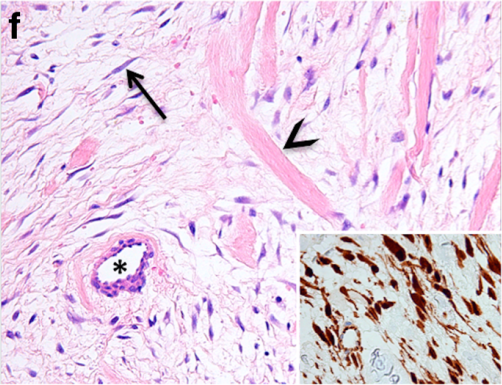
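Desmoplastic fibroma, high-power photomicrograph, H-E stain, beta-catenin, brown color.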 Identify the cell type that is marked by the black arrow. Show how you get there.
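Elongated, tapered purple nuclei scattered in pale pink matrix. Some cells have several thin processes radiating outward. Cells are widely spaced. On this evidence: spindle- and stellate-shaped cells.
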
